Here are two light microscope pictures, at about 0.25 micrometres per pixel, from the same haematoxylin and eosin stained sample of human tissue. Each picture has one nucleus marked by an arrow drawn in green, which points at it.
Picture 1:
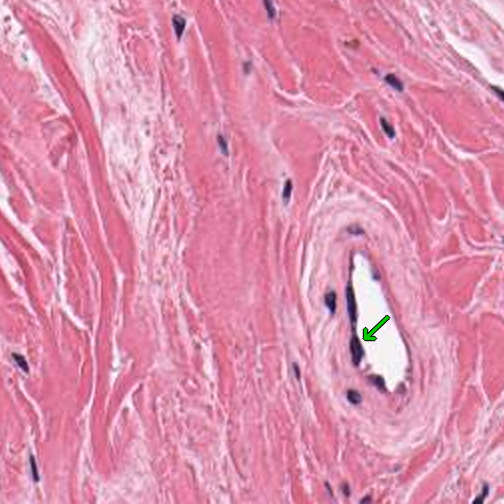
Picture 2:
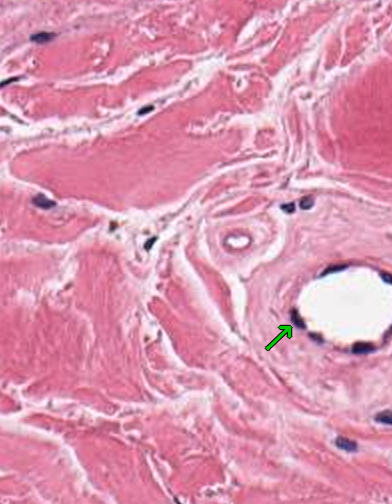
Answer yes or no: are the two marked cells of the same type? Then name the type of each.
Yes, both are endothelial cells.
